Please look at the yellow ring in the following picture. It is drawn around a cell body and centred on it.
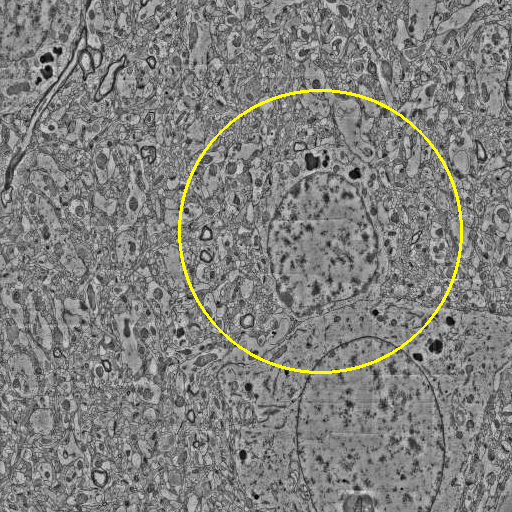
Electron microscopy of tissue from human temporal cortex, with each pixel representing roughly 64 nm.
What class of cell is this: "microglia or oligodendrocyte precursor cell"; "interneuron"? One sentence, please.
The ring surrounds the cell body of an interneuron.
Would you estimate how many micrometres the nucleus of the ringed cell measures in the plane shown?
Approximately 9 x 7 micrometres in this plane.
